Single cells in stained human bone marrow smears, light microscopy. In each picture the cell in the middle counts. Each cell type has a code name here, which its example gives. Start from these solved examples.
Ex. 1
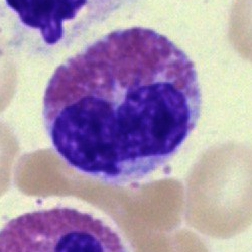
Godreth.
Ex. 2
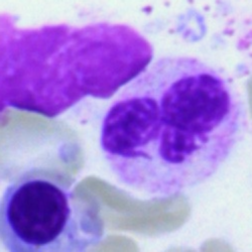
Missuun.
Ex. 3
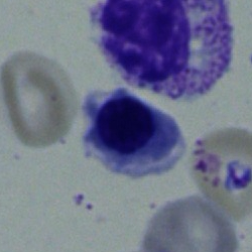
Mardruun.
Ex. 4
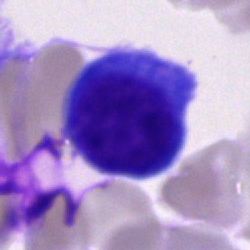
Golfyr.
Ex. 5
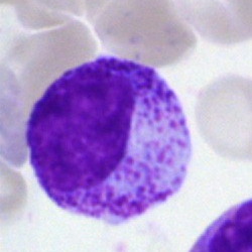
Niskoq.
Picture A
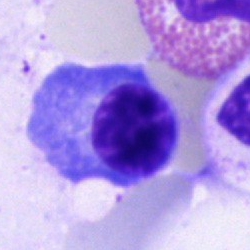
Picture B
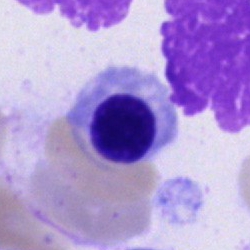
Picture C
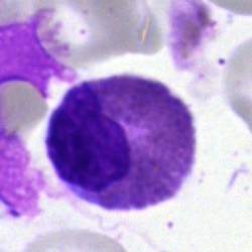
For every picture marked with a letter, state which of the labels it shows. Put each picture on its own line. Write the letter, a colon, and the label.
A: Golfyr.
B: Mardruun.
C: Godreth.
